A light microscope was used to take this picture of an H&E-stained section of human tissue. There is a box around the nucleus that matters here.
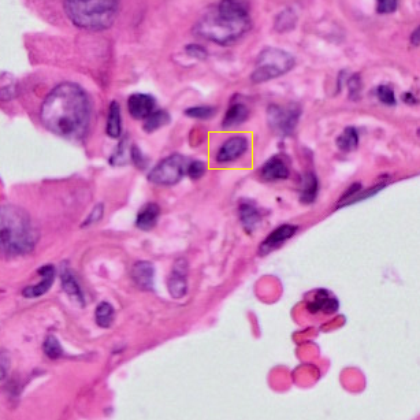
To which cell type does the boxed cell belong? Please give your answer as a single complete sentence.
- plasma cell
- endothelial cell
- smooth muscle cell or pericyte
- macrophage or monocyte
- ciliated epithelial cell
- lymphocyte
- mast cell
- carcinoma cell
For cell typing purposes, the boxed cell is a mast cell.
